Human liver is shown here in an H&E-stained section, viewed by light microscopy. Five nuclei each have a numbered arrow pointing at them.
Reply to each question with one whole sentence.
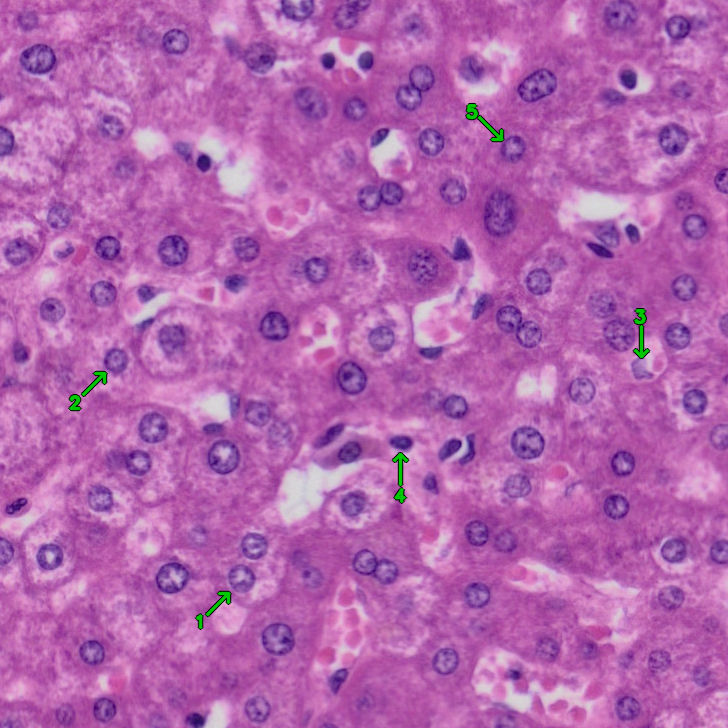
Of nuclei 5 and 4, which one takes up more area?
Of the two, number 5 is bigger and takes up about 1.5 times the area of number 4.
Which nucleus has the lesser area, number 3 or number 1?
With nucleus 1 about 2 times its size, nucleus 3 is the smaller of the two.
